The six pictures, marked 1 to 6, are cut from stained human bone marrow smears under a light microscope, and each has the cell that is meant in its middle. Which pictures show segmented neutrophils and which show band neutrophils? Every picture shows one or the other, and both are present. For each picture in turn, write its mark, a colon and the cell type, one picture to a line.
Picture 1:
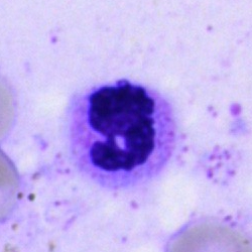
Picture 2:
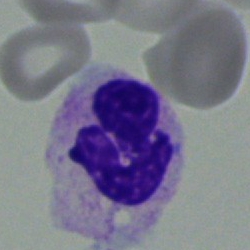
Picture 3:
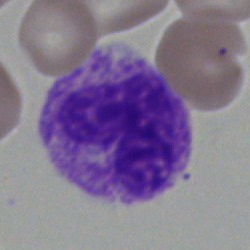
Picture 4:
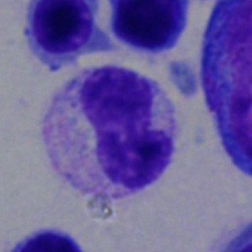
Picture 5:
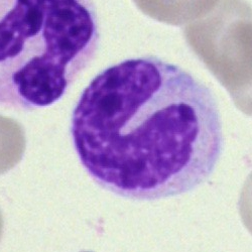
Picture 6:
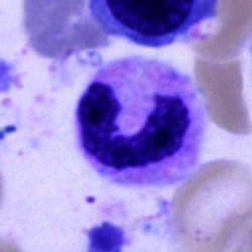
1: segmented neutrophil
2: segmented neutrophil
3: band neutrophil
4: band neutrophil
5: band neutrophil
6: band neutrophil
